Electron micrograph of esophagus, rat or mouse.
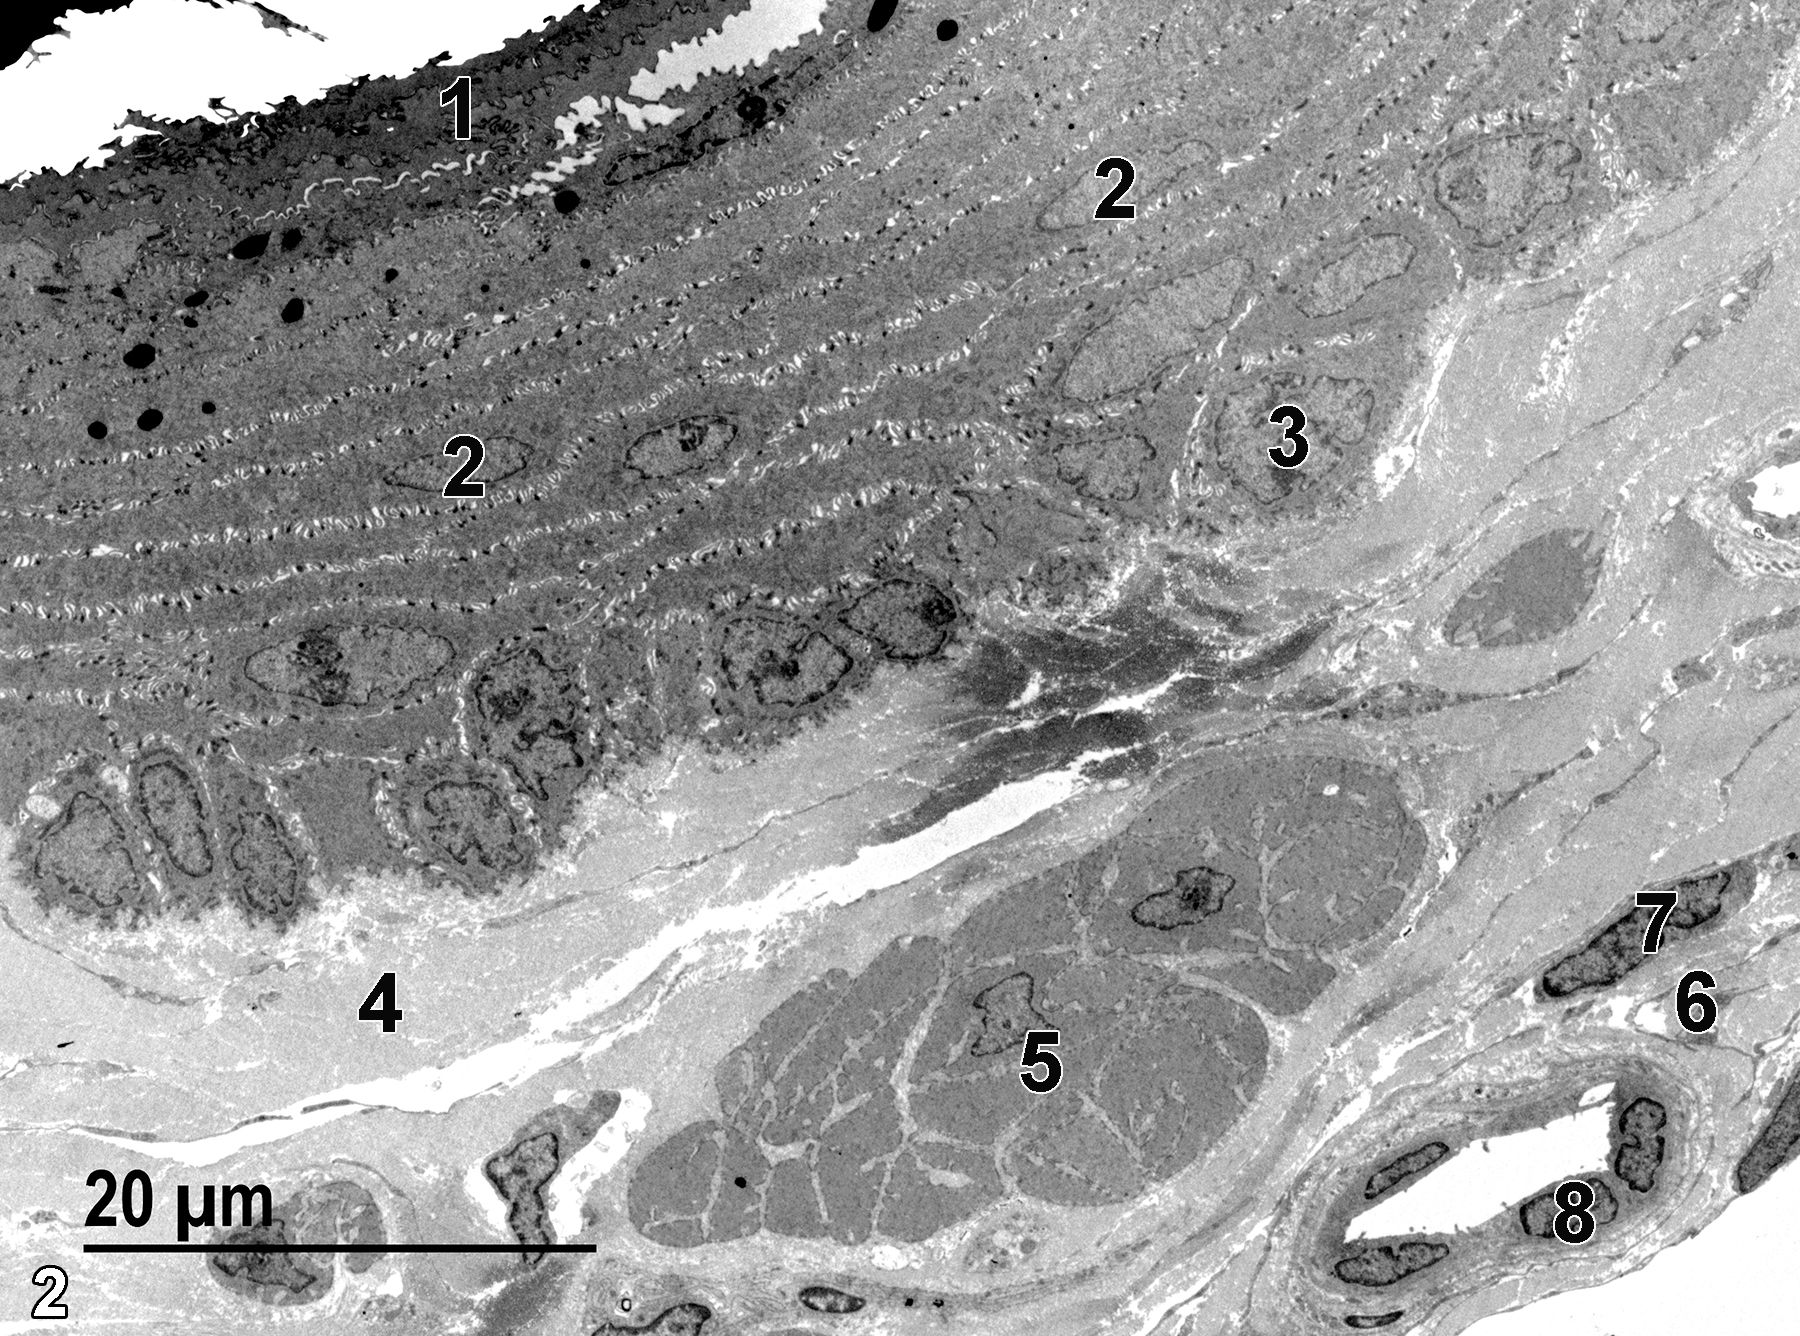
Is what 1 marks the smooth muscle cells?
No: the keratinized epithelial surface.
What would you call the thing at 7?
Fibroblast nucleus.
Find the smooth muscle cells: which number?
The smooth muscle cells: 5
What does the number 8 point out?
Endothelial nucleus of a small vessel.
